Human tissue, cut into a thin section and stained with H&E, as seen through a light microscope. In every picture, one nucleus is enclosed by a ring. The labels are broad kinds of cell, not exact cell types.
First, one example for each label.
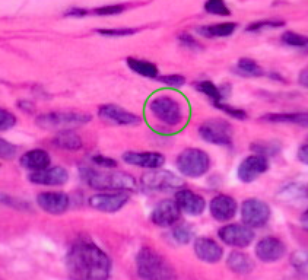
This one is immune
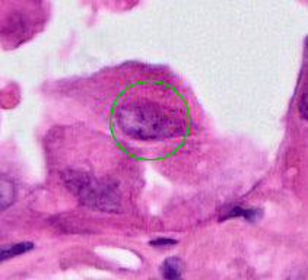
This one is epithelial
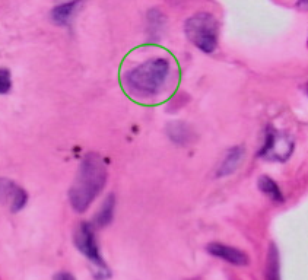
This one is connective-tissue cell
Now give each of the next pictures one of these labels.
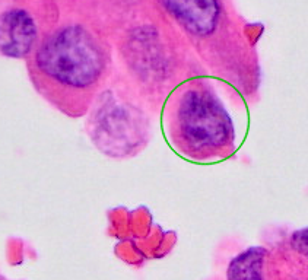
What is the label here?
epithelial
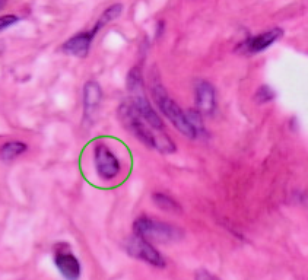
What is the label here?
immune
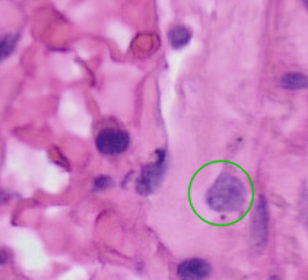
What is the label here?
connective-tissue cell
